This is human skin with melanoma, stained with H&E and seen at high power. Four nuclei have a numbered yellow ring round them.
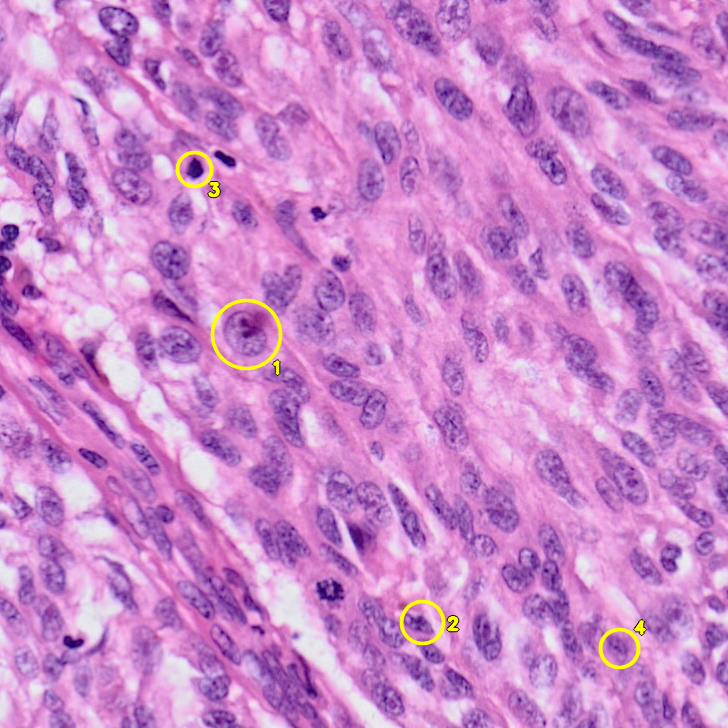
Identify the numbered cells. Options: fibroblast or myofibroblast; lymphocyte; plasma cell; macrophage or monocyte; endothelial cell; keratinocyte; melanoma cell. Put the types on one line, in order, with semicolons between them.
melanoma cell; melanoma cell; lymphocyte; melanoma cell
